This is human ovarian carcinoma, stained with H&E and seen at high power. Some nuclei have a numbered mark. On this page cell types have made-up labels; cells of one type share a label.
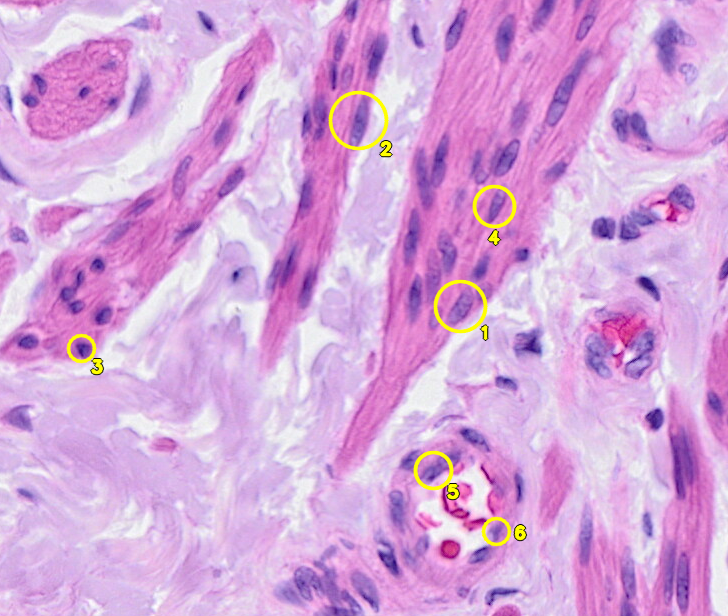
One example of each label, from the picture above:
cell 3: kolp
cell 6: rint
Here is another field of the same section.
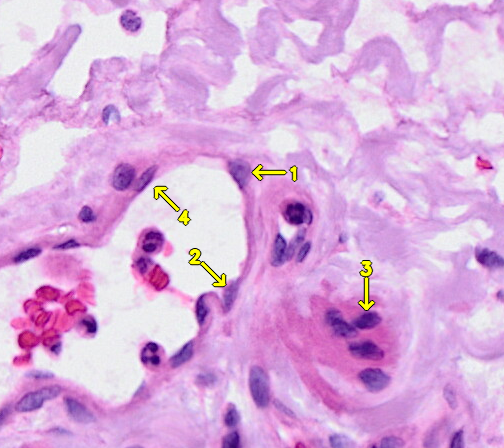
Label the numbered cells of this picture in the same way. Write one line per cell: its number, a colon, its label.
1: rint
2: rint
3: kolp
4: rint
